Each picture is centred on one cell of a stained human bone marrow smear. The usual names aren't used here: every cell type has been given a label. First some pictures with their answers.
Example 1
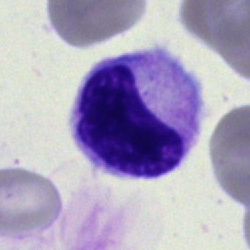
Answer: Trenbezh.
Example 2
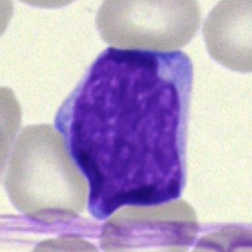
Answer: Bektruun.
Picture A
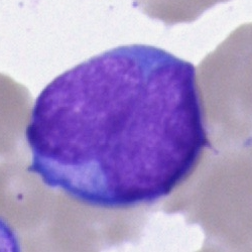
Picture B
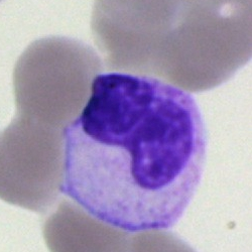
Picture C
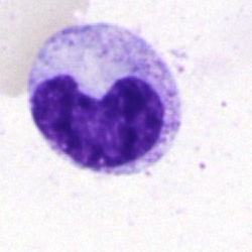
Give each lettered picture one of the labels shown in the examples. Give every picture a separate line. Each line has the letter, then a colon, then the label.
A: Bektruun.
B: Trenbezh.
C: Trenbezh.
